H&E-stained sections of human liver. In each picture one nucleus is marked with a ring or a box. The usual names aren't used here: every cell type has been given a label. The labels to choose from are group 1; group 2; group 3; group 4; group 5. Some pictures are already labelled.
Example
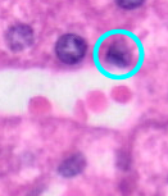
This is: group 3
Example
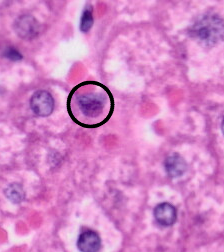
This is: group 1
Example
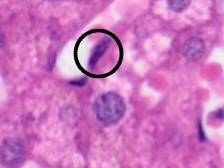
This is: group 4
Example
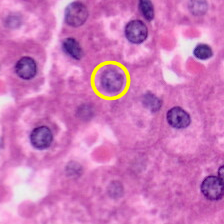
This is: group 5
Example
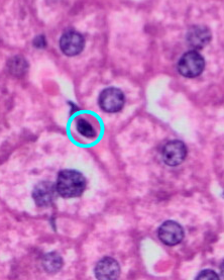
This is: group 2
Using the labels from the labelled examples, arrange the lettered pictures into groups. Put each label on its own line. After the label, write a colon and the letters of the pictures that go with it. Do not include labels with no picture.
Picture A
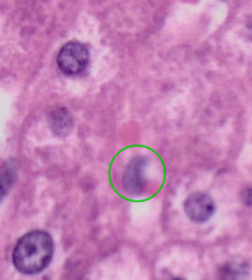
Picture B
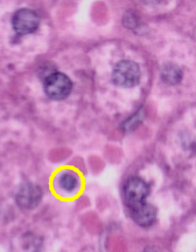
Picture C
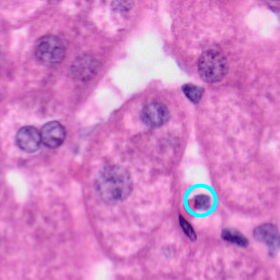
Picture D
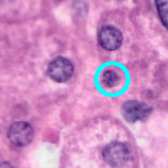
group 1: A
group 2: B, C, D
